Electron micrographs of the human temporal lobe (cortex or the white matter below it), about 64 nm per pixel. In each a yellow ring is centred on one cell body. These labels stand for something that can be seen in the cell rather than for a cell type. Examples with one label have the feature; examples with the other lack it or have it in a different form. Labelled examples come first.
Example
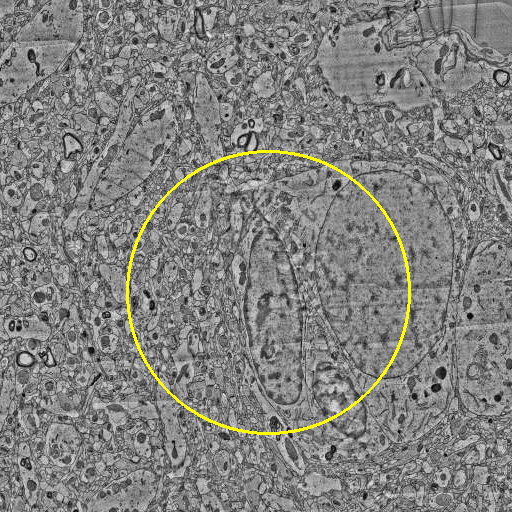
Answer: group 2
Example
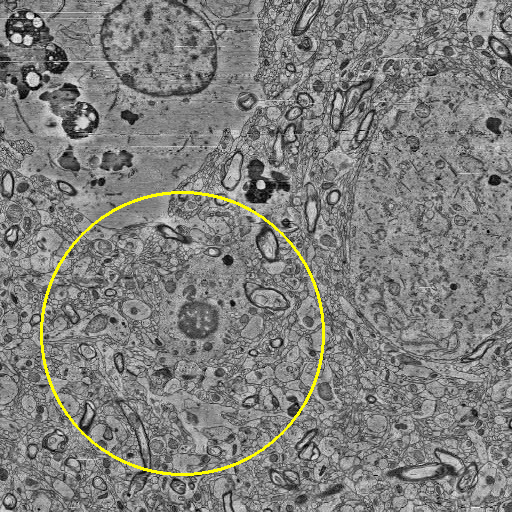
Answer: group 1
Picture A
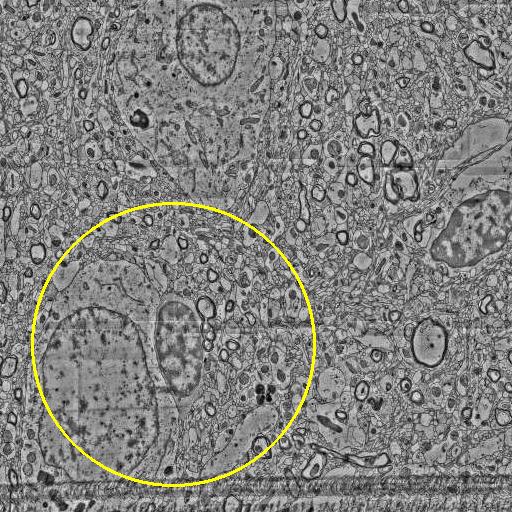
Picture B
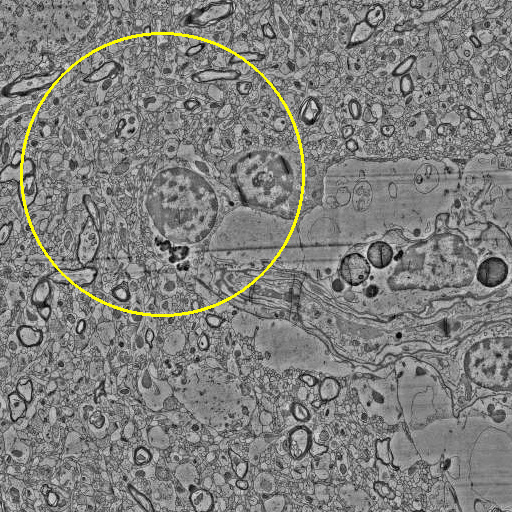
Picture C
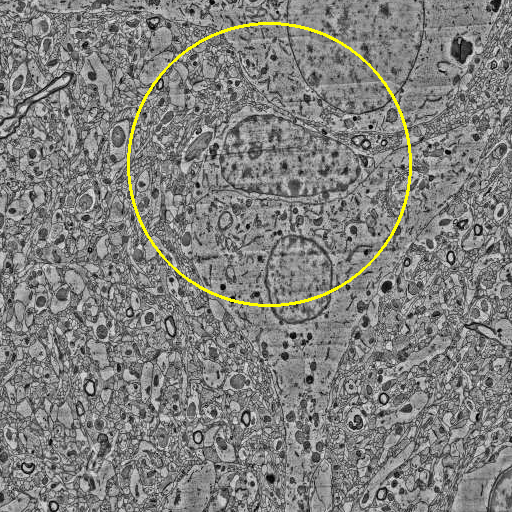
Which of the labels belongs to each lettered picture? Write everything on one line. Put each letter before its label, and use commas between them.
A group 2, B group 1, C group 2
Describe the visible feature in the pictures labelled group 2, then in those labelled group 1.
group 2: clearly elongated nuclei; group 1: round or nearly round nuclei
